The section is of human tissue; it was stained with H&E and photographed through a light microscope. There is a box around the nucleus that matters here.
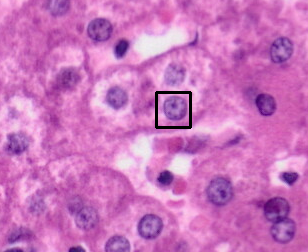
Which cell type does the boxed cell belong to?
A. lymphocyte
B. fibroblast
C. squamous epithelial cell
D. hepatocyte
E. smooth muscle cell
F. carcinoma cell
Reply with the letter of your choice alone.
D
